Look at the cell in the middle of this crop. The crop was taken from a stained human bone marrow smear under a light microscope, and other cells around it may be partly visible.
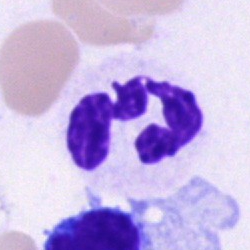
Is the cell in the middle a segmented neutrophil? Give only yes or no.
yes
